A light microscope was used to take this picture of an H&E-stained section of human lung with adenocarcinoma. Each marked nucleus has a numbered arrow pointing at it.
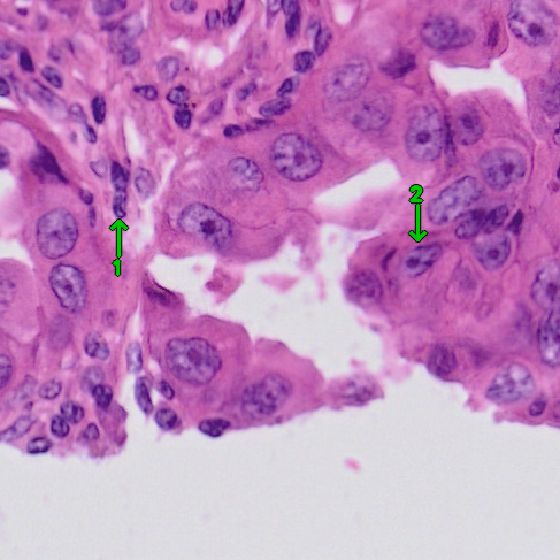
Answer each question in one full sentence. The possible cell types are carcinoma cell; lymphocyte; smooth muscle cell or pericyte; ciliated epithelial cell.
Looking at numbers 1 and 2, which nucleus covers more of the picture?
Of the two, number 2 is bigger and takes up about 2.5 times the area of number 1.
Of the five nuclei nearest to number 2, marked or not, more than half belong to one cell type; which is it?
Carcinoma cells make up most of the five nuclei closest to number 2.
